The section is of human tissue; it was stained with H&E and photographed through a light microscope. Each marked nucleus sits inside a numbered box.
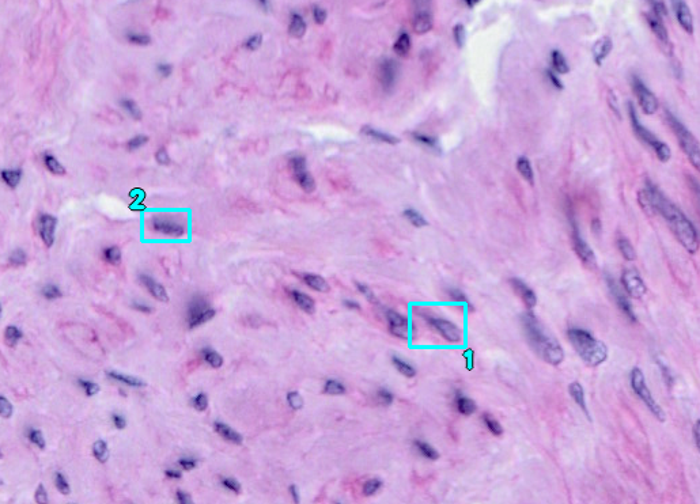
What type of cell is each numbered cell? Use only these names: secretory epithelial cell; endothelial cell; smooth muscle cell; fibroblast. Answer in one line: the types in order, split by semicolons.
smooth muscle cell; fibroblast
